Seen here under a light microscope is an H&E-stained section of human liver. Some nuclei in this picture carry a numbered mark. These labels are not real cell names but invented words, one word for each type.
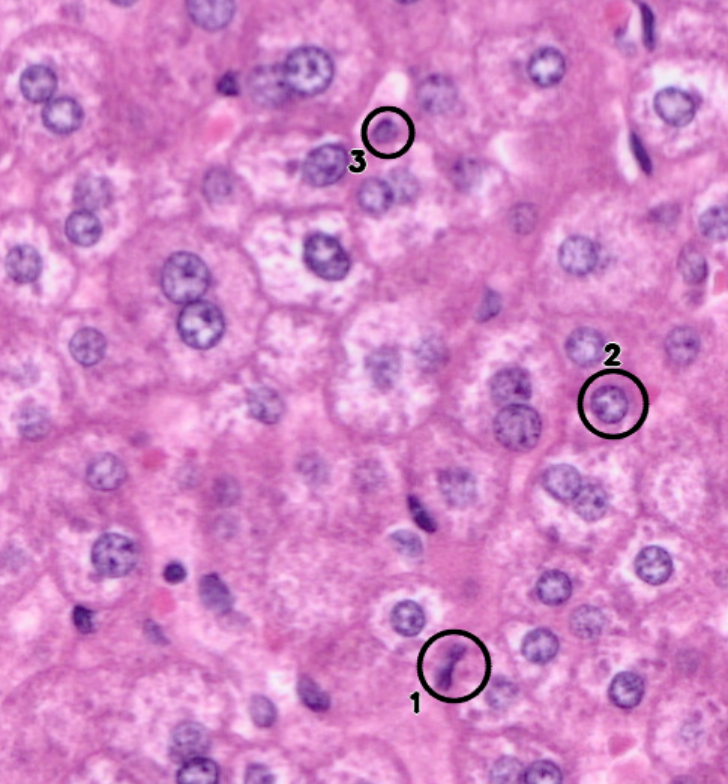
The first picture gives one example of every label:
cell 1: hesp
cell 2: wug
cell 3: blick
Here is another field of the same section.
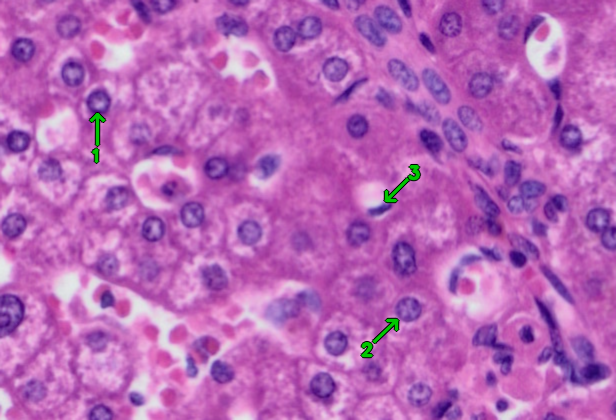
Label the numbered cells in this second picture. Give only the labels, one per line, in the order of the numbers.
wug
wug
hesp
